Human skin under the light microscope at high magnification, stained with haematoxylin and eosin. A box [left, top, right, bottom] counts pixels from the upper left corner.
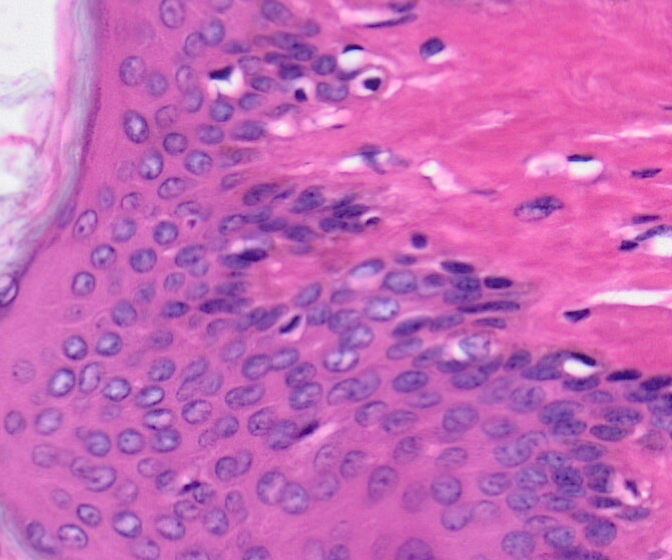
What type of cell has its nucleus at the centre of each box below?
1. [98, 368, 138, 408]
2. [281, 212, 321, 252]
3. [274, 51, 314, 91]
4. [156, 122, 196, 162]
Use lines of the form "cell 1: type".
cell 1: suprabasal keratinocyte
cell 2: basal keratinocyte
cell 3: basal keratinocyte
cell 4: suprabasal keratinocyte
